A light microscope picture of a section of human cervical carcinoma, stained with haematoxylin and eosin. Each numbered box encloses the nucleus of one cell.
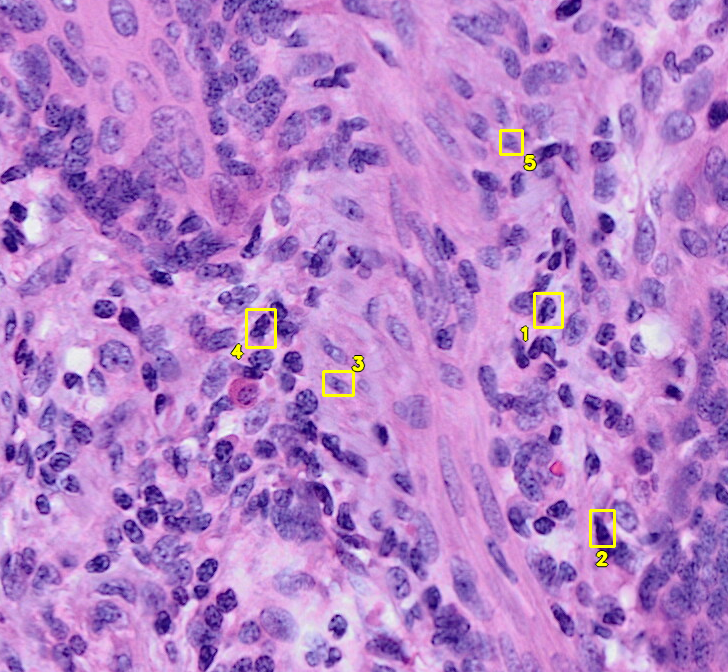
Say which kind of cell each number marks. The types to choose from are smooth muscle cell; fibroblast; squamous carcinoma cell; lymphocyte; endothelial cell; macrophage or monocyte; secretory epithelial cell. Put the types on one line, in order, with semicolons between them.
lymphocyte; lymphocyte; smooth muscle cell; lymphocyte; smooth muscle cell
